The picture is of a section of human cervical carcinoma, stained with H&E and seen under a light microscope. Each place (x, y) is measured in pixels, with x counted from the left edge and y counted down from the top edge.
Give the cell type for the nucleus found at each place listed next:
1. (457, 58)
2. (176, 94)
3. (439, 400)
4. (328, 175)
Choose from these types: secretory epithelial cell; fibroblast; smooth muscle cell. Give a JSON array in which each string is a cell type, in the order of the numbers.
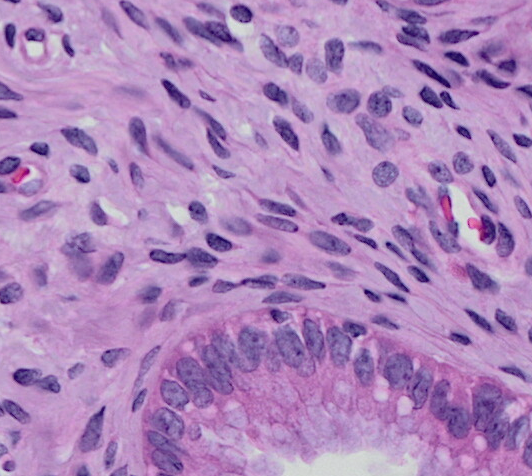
["fibroblast", "fibroblast", "secretory epithelial cell", "fibroblast"]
